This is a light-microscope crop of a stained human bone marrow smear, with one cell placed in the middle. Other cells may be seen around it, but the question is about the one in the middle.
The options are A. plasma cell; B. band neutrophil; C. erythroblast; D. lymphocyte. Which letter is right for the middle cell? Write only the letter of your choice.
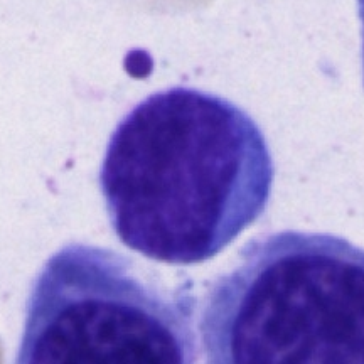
D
